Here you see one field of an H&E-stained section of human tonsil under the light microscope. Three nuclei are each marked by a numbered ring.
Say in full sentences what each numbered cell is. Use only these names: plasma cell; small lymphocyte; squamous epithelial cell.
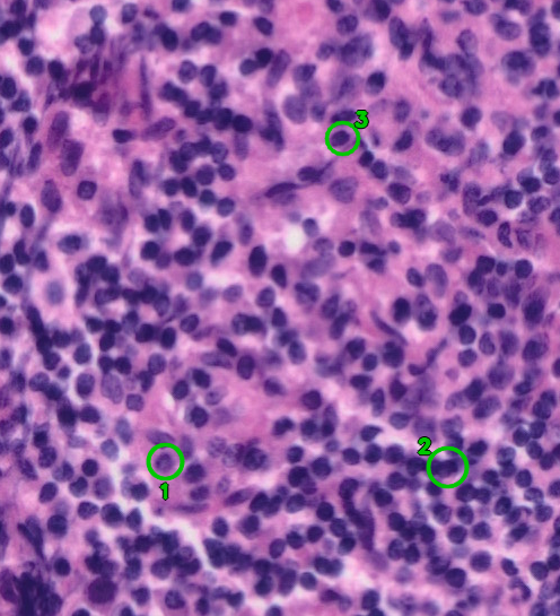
Cells 1 and 3 are plasma cells. Cell 2 is a small lymphocyte.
